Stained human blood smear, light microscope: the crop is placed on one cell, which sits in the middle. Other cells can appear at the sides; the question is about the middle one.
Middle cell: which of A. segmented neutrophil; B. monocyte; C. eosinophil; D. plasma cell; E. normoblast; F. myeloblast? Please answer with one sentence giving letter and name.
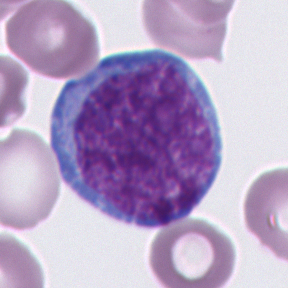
The central cell, a myeloblast, is correctly identified by option F.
